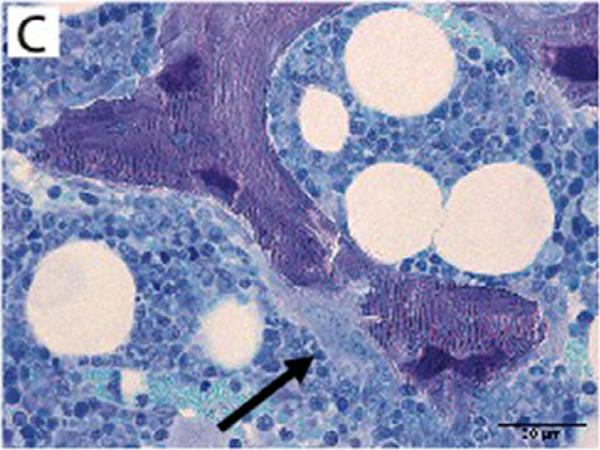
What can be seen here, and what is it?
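Cancellous bone is seen, with branching purple bone trabeculae showing lamellar texture and darker purple central zones. The spaces between the trabeculae hold densely cellular marrow of small round cells with dark blue nuclei, interspersed with large round empty fat cell spaces. A large osteoclast with pale blue cytoplasm lies against the edge of a trabecula, near where it narrows. The trabecular outlines are irregular, and much of the bone surface borders directly on marrow.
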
